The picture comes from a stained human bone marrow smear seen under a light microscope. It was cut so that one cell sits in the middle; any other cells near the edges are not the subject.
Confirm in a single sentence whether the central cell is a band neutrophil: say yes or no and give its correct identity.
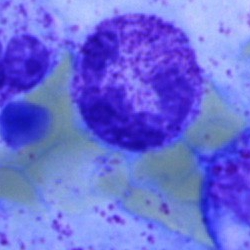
No, the cell in the middle is categorised as a segmented neutrophil, not a band neutrophil.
